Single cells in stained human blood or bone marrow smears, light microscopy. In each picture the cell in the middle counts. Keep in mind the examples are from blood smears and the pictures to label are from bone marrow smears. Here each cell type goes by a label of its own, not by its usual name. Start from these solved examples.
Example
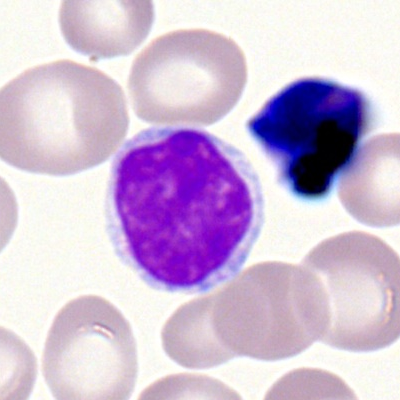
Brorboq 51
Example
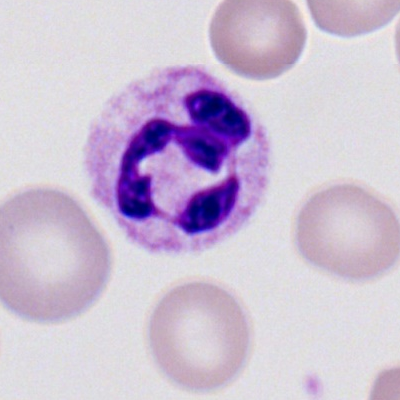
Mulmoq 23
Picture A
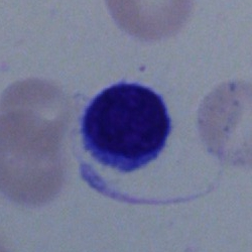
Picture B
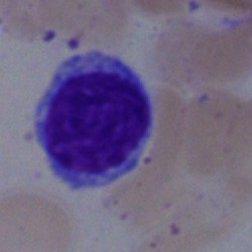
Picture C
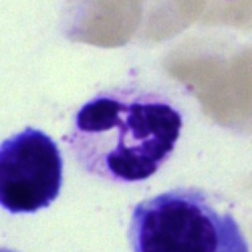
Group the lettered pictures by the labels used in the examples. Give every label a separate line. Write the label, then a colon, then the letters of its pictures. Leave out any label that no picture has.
Brorboq 51: A, B
Mulmoq 23: C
